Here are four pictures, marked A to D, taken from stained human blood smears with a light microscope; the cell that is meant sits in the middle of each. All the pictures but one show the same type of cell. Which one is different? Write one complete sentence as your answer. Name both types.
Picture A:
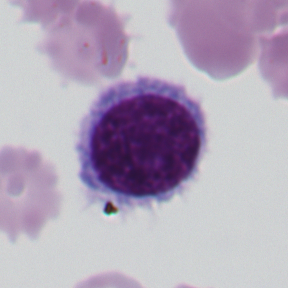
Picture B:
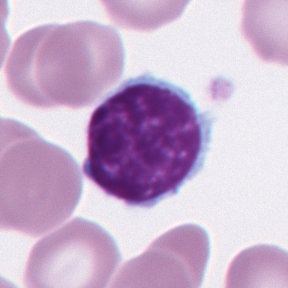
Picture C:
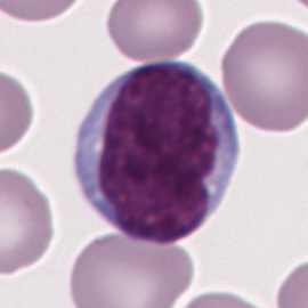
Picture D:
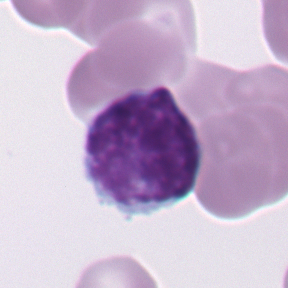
Unlike the rest, which show typical lymphocytes, picture A shows a hairy cell.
